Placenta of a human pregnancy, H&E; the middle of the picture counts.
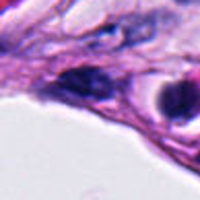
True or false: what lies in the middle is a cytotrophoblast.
True.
